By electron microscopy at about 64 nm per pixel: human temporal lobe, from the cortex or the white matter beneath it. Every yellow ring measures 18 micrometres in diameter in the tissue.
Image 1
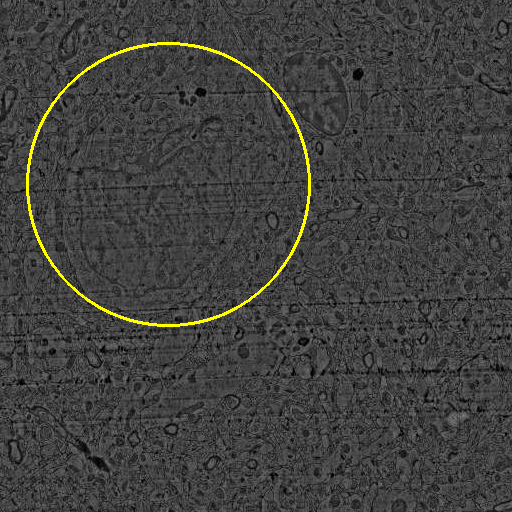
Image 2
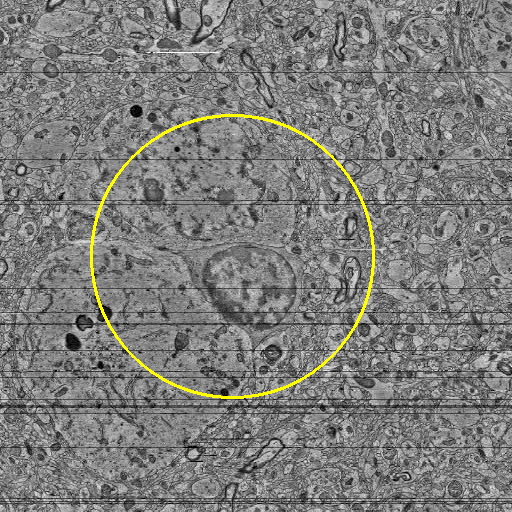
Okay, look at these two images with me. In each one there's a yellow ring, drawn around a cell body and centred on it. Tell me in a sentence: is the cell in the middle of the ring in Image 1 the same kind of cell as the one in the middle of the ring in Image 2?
No, they're two kinds of cell.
